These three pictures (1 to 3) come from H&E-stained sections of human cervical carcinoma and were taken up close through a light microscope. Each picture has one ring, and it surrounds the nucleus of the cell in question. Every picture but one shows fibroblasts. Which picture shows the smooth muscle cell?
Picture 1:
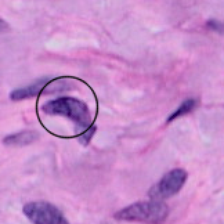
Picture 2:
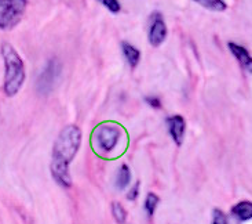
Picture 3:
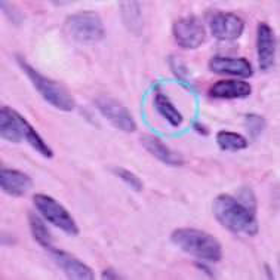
2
